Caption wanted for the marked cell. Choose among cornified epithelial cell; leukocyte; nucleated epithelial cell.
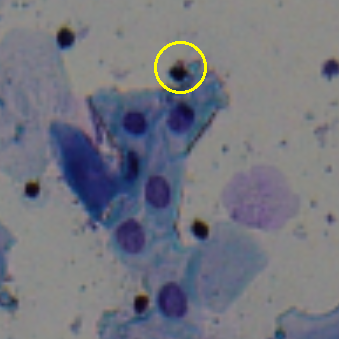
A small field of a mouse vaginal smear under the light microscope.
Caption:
Ringed in yellow is a leukocyte.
